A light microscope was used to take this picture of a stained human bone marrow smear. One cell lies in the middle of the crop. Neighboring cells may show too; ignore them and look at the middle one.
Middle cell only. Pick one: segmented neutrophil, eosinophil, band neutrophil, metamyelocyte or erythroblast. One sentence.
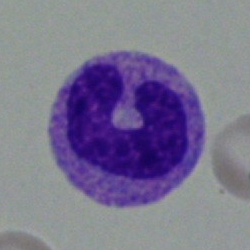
The centrally located cell in the crop is a band neutrophil.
